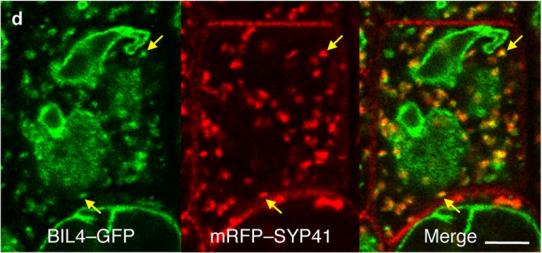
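These are plant cells seen in three matching fluorescence images, with the green channel outlining folded vacuolar membranes and small punctate structures. In the green image an irregular, folded membrane compartment occupies the upper part of the cell, with a fainter hazy area beneath it. The red image shows many small, bright, separate dots scattered through the cytoplasm and along the cell edges. In the merged image some of these dots appear yellow where green and red coincide, while others stay red or green.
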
